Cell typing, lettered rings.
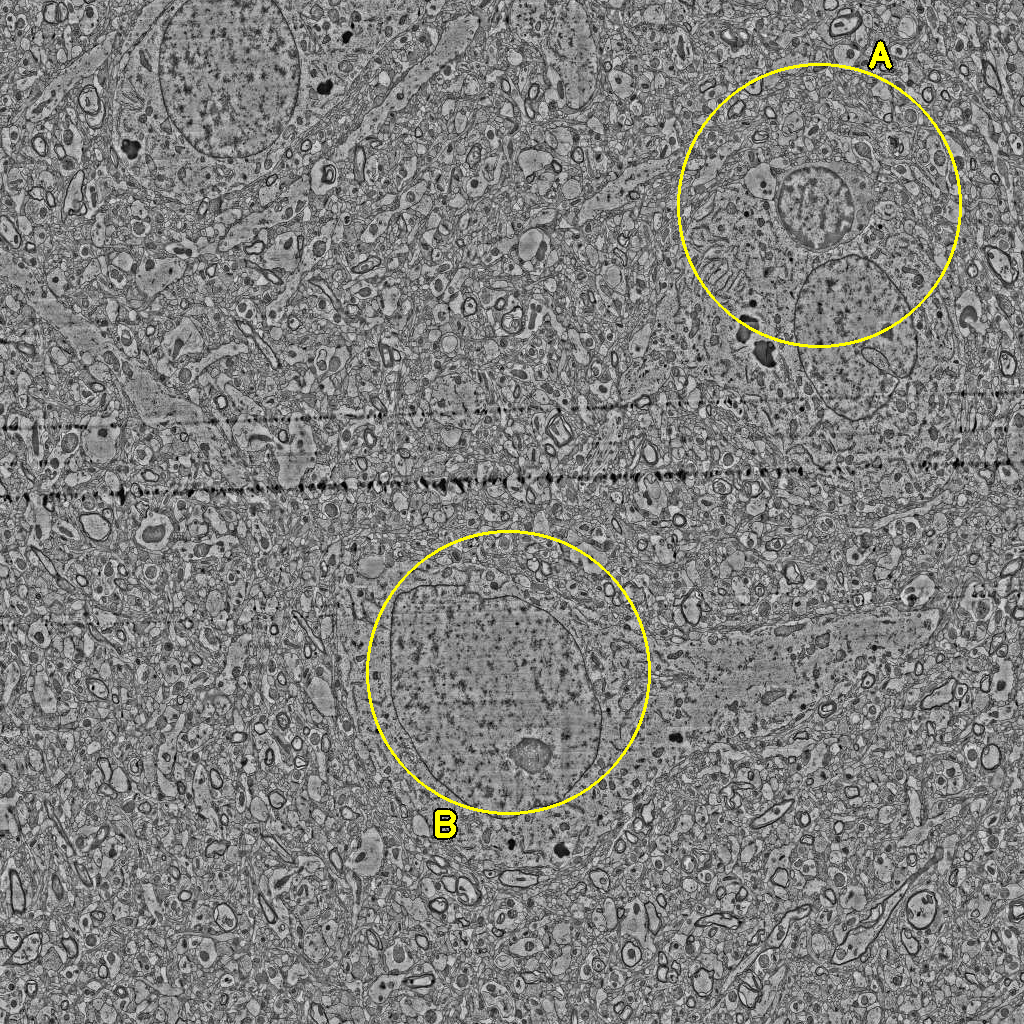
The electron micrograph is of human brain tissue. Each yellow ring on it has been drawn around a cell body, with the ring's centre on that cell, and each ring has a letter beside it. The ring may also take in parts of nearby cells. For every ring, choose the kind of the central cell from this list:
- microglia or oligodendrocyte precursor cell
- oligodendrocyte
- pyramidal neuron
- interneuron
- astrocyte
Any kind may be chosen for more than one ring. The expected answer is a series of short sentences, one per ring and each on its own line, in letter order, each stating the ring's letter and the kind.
For ring A, the centred cell is an oligodendrocyte.
For ring B, the centred cell is a pyramidal neuron.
